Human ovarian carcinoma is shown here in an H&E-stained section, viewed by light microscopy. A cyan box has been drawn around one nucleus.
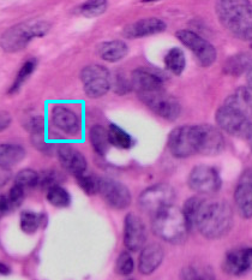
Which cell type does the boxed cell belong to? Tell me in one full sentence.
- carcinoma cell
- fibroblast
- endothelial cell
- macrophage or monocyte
The category to which the boxed cell belongs is that of a carcinoma cell.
